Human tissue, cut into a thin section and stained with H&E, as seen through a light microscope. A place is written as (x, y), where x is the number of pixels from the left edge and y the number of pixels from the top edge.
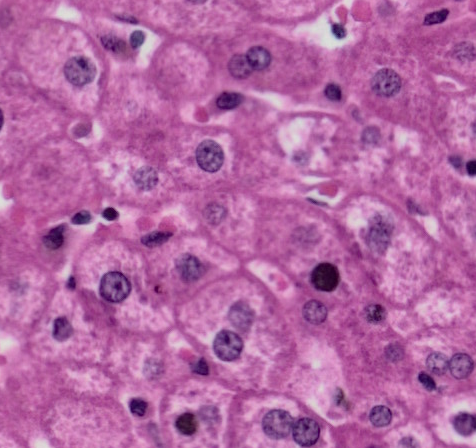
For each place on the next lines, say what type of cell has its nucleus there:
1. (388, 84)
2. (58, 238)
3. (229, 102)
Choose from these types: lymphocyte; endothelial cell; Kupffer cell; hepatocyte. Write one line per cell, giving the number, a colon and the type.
1: hepatocyte
2: Kupffer cell
3: Kupffer cell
